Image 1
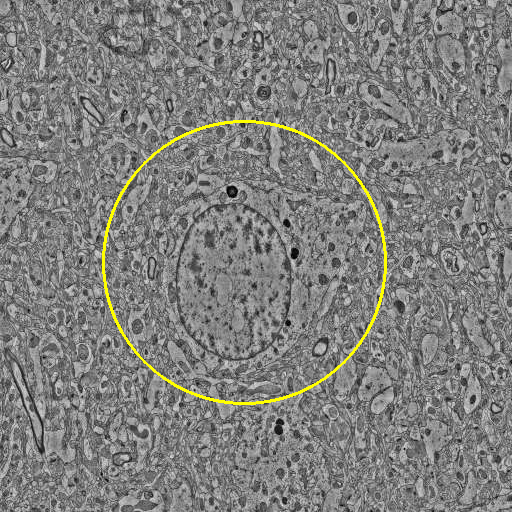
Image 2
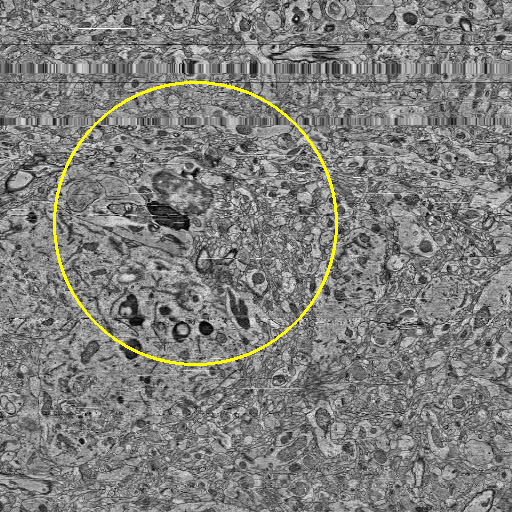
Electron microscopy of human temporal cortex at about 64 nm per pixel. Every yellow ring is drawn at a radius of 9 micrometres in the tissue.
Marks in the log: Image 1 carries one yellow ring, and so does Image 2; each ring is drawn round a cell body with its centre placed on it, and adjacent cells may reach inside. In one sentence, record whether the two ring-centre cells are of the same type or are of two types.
The two cells at the ring centres, one in each image, are of two types.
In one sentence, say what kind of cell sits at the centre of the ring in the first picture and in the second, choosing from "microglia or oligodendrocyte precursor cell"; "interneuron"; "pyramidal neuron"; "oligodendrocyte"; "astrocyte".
The first picture's ringed cell is a pyramidal neuron, while the second picture's is an oligodendrocyte.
